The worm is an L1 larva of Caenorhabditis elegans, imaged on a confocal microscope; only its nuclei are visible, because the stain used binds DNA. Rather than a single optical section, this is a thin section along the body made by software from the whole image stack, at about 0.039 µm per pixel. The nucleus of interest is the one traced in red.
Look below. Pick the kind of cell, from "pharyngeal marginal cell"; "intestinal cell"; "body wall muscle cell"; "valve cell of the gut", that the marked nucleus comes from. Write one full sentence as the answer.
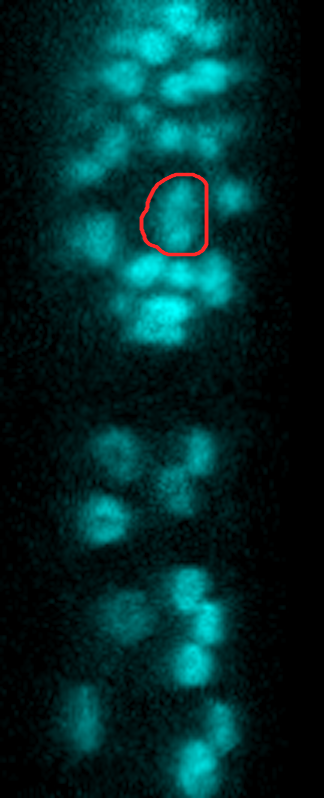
The marked nucleus is that of a pharyngeal marginal cell.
